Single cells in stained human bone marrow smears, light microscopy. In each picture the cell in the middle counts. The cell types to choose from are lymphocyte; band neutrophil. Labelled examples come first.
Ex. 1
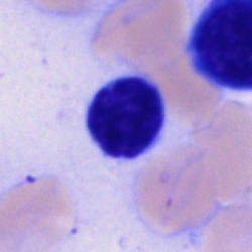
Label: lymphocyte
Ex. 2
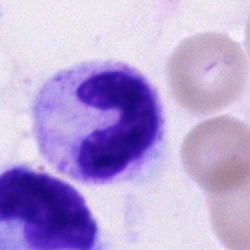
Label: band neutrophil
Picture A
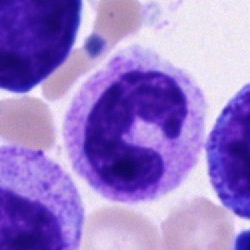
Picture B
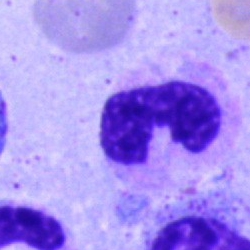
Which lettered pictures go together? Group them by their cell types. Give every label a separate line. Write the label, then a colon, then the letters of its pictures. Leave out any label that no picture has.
band neutrophil: A, B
